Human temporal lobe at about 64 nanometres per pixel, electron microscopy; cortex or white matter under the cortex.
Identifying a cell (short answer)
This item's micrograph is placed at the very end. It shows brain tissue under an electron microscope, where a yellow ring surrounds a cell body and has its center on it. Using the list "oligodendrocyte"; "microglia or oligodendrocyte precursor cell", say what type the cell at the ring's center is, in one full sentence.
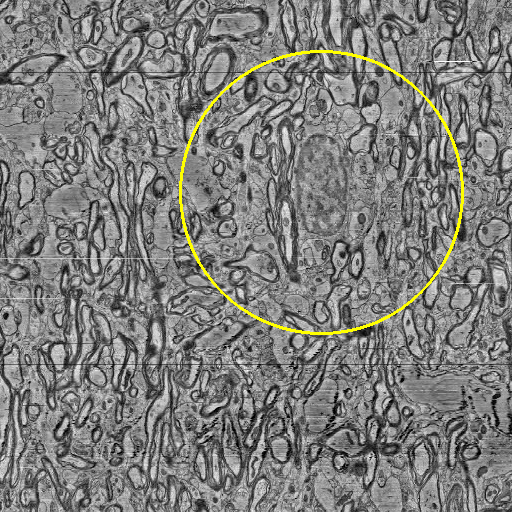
This picture shows an oligodendrocyte at the center of the yellow ring drawn on it.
